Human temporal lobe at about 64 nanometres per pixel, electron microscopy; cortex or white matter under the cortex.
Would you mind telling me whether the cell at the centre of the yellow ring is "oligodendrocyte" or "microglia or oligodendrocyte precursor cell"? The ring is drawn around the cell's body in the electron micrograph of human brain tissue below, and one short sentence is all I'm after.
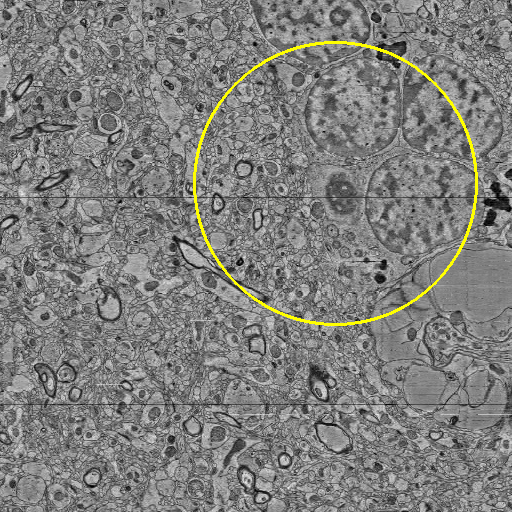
In the centre of the ring lies an oligodendrocyte.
